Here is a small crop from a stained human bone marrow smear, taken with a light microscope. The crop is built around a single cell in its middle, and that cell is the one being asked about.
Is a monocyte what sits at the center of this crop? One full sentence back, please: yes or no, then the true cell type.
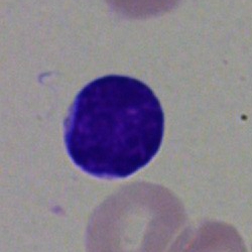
No, this one is a blast; it is not a monocyte.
